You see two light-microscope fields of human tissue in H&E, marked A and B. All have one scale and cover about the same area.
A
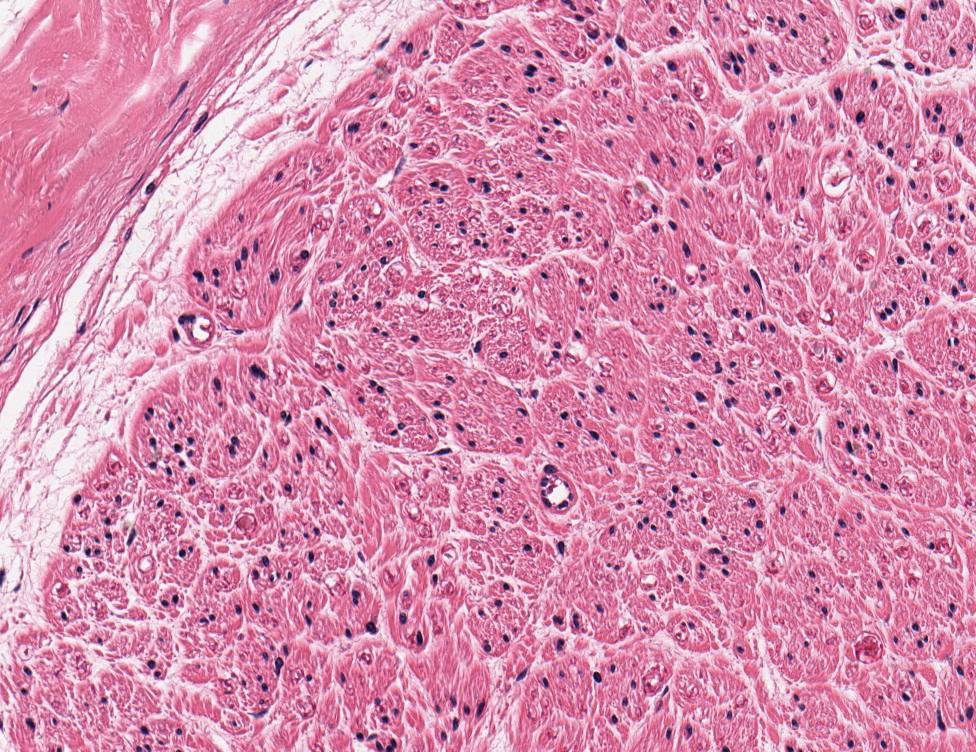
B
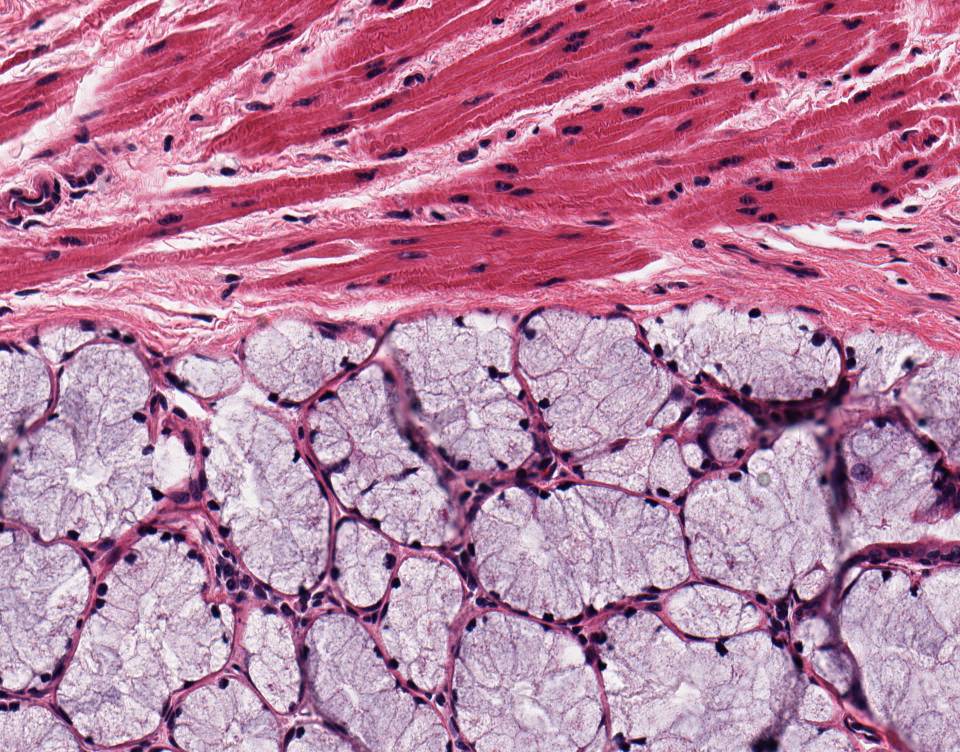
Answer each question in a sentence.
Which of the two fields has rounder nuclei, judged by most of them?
Rounder nuclei lie in picture A.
